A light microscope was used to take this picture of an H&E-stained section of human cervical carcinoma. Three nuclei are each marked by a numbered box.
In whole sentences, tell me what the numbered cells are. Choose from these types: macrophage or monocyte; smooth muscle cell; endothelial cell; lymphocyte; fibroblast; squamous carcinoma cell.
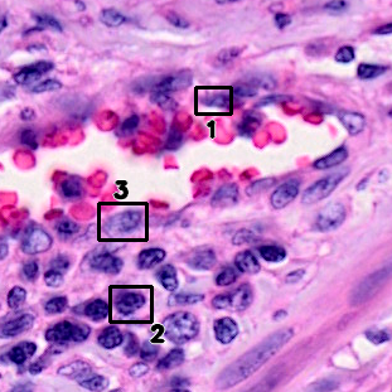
Cells 1 and 3 are endothelial cells. Cell 2 is a lymphocyte.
